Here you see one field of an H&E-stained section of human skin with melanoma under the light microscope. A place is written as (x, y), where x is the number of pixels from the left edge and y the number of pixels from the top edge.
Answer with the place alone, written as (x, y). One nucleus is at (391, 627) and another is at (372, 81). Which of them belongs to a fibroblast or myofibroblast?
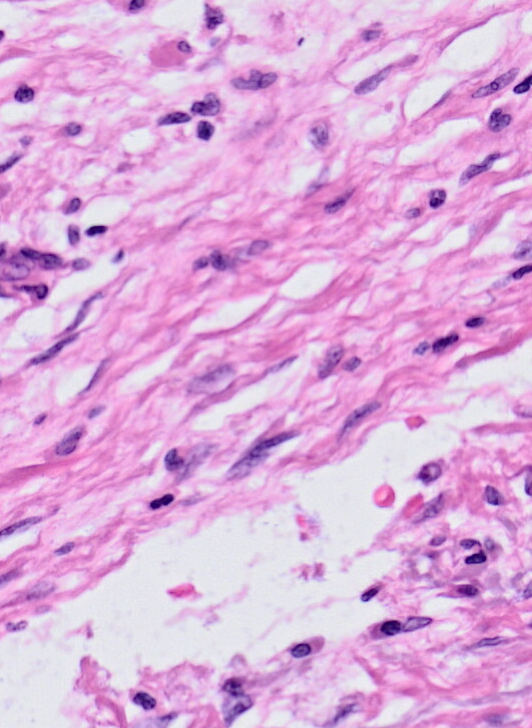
(372, 81)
